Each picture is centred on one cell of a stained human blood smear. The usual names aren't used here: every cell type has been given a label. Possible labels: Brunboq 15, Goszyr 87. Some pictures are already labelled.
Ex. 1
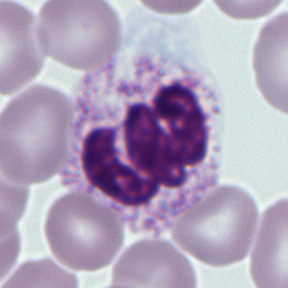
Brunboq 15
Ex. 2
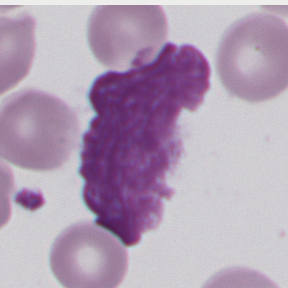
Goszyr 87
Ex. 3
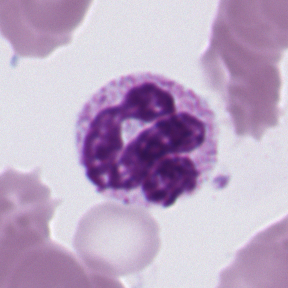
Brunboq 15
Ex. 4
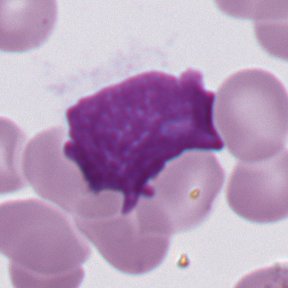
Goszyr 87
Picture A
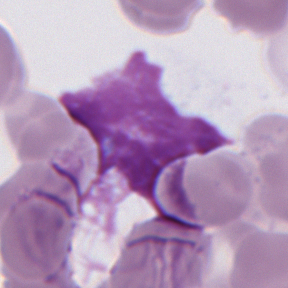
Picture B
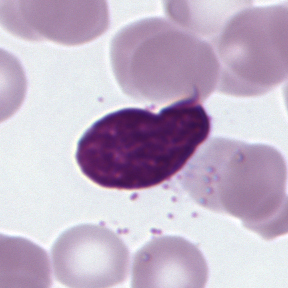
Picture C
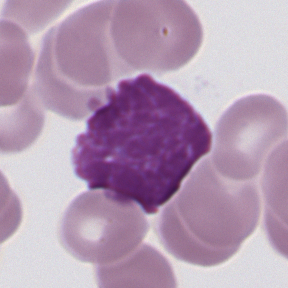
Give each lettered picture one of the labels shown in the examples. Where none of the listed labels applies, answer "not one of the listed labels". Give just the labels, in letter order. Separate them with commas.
Goszyr 87, Goszyr 87, Goszyr 87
